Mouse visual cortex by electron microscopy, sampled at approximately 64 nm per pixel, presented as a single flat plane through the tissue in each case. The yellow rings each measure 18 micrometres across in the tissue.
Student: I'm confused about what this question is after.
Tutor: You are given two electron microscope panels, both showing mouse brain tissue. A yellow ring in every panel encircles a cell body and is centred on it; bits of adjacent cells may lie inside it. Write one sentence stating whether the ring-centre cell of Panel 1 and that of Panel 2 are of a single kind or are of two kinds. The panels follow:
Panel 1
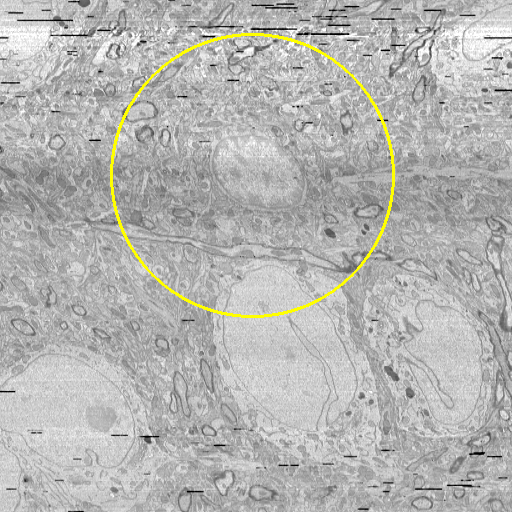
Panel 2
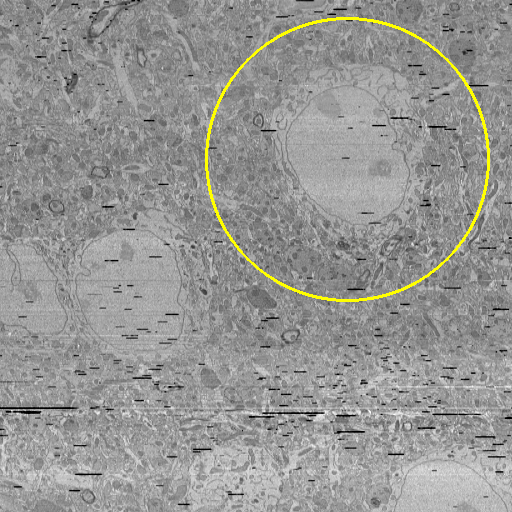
Here, the Panel 1 ring-centre cell and the Panel 2 ring-centre cell are of two kinds.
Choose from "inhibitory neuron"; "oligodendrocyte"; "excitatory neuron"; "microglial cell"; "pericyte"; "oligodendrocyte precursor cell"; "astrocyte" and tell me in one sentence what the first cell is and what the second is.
What the first ring is centred on is an oligodendrocyte; what the second ring is centred on is an excitatory neuron.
